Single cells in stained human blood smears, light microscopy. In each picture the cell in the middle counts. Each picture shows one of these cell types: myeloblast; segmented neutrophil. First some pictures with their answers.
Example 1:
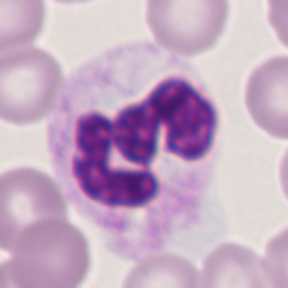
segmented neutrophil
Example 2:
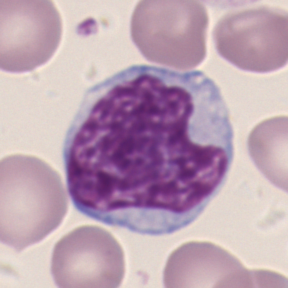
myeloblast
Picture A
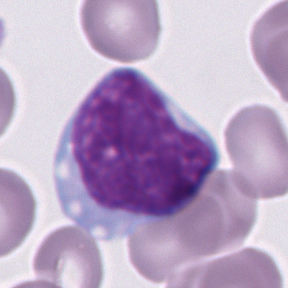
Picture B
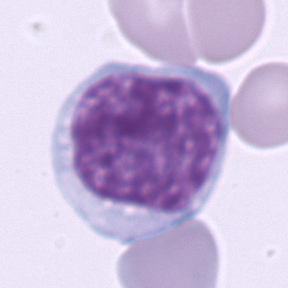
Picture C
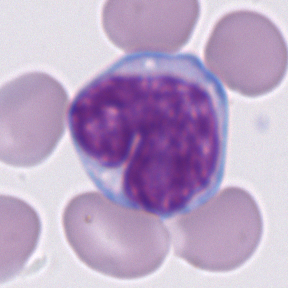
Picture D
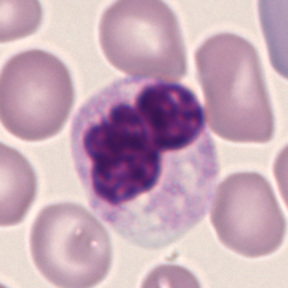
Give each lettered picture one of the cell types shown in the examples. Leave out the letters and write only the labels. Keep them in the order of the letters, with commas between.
myeloblast, myeloblast, myeloblast, segmented neutrophil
